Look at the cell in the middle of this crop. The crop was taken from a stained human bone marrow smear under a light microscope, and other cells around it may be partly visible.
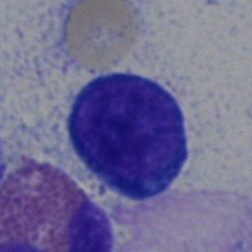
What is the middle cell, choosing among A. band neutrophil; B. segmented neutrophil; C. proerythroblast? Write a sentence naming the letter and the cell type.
Option C correctly states that the central cell is a proerythroblast.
